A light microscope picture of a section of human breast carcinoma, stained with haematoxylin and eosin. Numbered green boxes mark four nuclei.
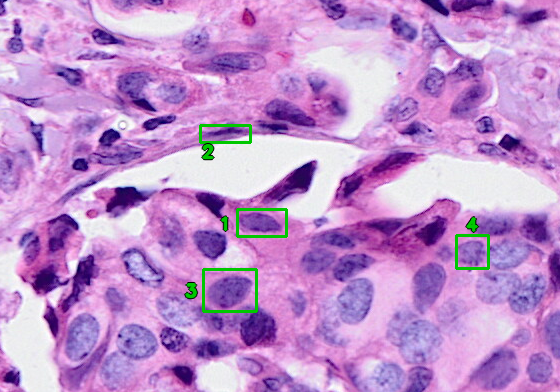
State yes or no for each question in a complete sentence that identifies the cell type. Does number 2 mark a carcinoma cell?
No, cell number 2 is a fibroblast; it is not a carcinoma cell.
